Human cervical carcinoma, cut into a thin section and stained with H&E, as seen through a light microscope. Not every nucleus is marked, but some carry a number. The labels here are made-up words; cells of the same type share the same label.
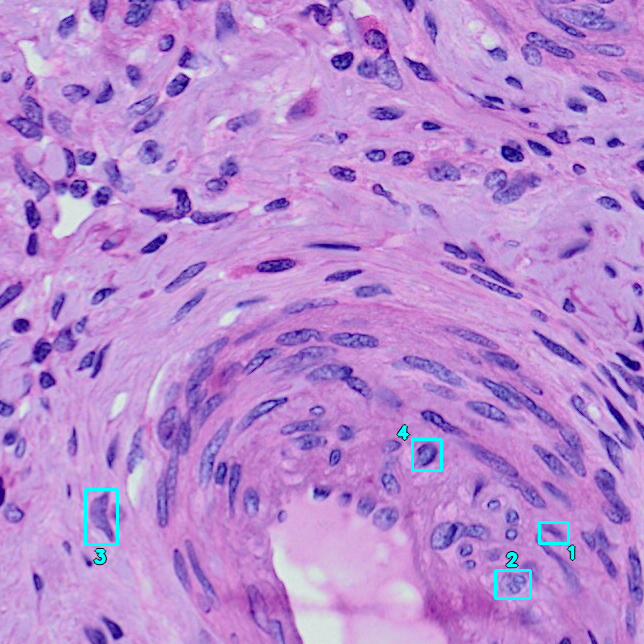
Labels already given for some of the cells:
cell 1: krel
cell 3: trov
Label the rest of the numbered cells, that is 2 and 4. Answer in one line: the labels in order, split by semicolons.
krel; krel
